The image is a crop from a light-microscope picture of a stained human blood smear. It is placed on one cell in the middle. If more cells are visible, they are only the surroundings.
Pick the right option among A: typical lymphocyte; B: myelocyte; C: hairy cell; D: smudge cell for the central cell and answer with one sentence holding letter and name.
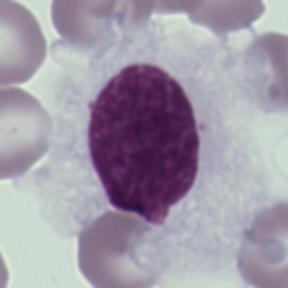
Option C correctly states that the central cell is a hairy cell.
